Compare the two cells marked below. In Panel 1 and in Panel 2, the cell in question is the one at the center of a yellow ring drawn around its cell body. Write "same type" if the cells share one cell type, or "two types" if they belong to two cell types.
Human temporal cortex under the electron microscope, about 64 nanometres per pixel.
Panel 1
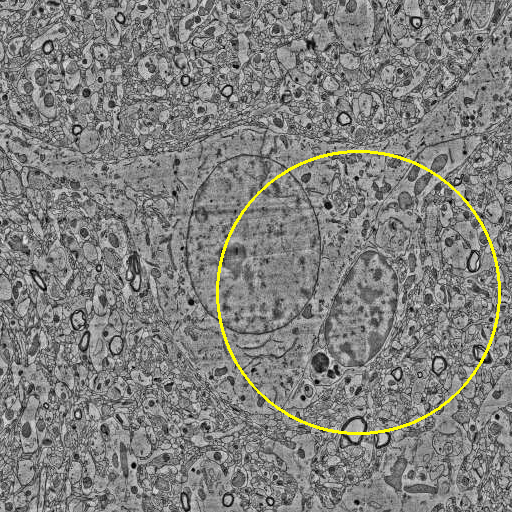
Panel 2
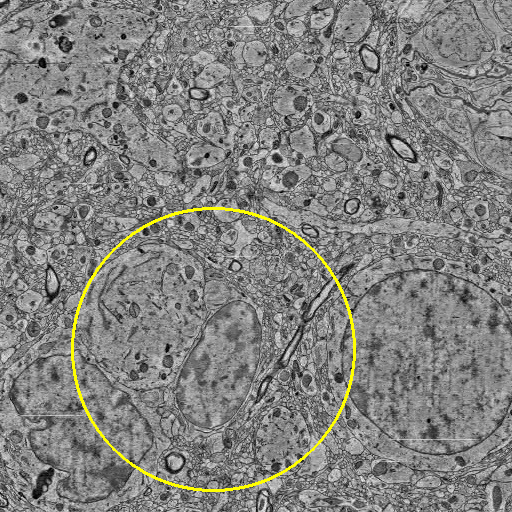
same type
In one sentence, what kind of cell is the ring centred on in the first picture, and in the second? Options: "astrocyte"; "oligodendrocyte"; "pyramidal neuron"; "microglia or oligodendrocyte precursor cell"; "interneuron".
Each cell, in the first picture and the second, is a microglial cell or oligodendrocyte precursor cell.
